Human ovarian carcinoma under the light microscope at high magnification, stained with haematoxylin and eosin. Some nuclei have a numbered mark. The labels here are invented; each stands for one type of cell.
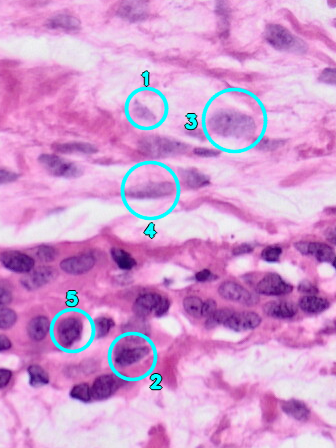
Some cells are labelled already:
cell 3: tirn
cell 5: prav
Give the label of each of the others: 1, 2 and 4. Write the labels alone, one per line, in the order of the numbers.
tirn
prav
tirn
